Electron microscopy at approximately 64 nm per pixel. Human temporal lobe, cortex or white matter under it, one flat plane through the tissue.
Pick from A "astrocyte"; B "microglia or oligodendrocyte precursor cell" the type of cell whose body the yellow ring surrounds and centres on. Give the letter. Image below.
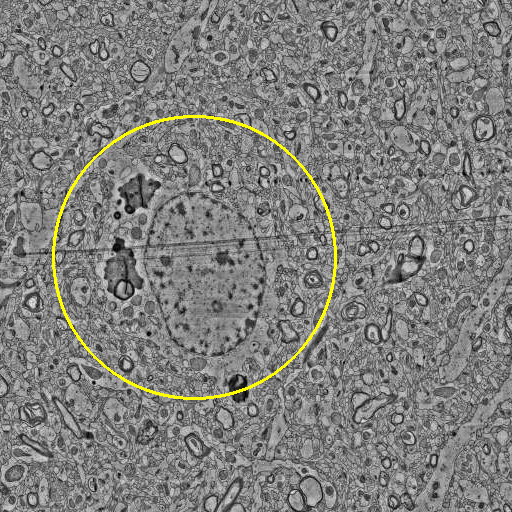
A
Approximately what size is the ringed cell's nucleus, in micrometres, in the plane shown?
The nucleus works out at approximately 11 by 7 micrometres in this plane.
